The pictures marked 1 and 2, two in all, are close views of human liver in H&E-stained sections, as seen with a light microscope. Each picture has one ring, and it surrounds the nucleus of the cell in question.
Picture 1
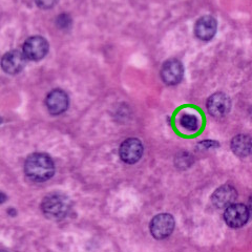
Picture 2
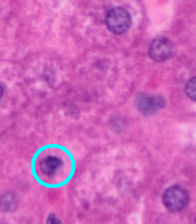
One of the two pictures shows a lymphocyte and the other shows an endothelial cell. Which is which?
1: lymphocyte
2: endothelial cell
